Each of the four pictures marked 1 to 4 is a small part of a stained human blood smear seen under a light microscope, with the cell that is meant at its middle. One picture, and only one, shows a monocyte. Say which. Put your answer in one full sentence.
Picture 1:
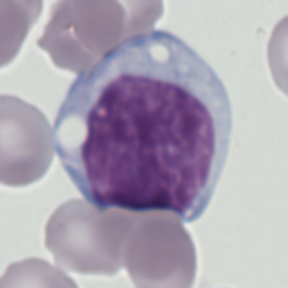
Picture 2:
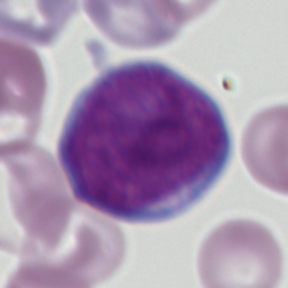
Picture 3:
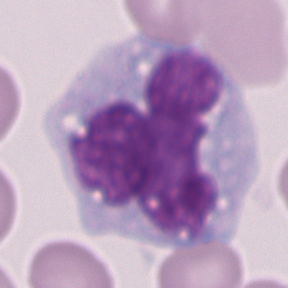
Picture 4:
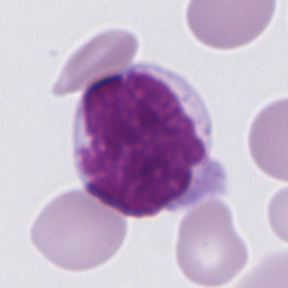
The monocyte is the one in picture 3.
